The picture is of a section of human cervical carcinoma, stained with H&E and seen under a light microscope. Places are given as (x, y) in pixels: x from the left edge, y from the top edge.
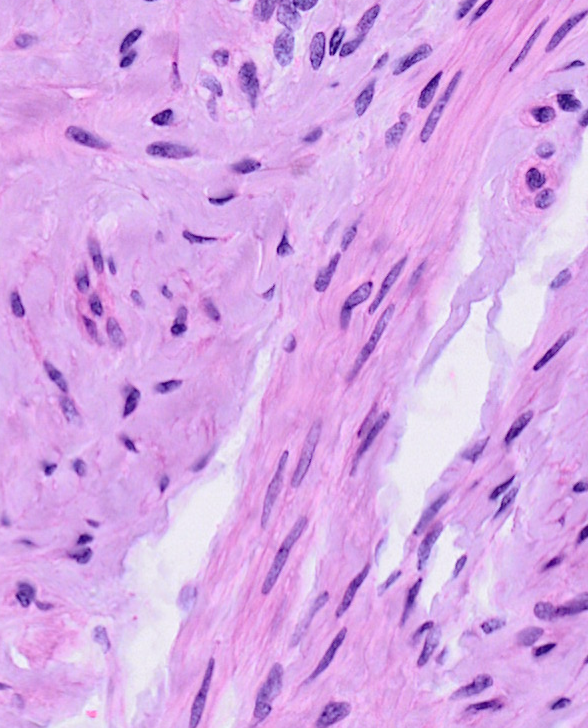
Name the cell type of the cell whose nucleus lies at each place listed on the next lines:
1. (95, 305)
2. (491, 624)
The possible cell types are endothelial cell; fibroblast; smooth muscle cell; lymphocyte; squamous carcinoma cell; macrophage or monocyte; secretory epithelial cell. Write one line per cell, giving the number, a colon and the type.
1: smooth muscle cell
2: fibroblast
